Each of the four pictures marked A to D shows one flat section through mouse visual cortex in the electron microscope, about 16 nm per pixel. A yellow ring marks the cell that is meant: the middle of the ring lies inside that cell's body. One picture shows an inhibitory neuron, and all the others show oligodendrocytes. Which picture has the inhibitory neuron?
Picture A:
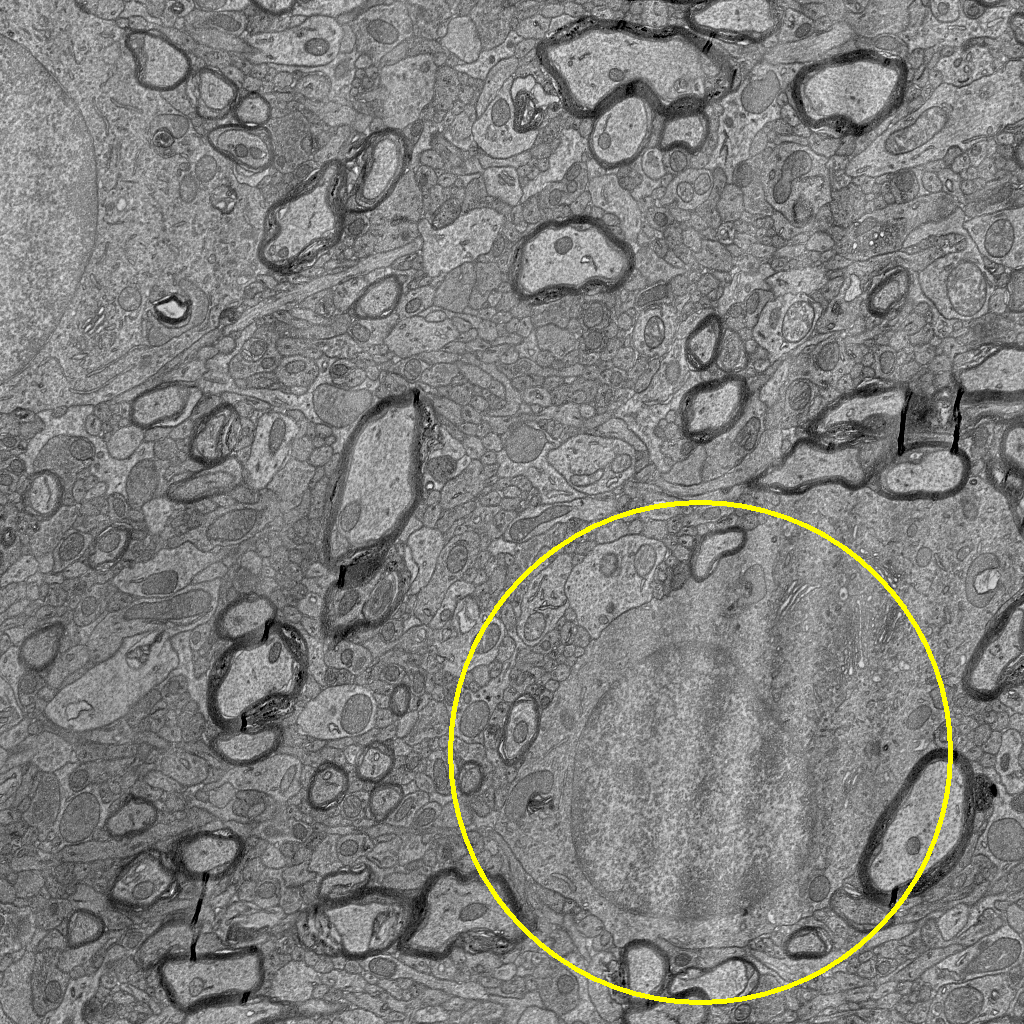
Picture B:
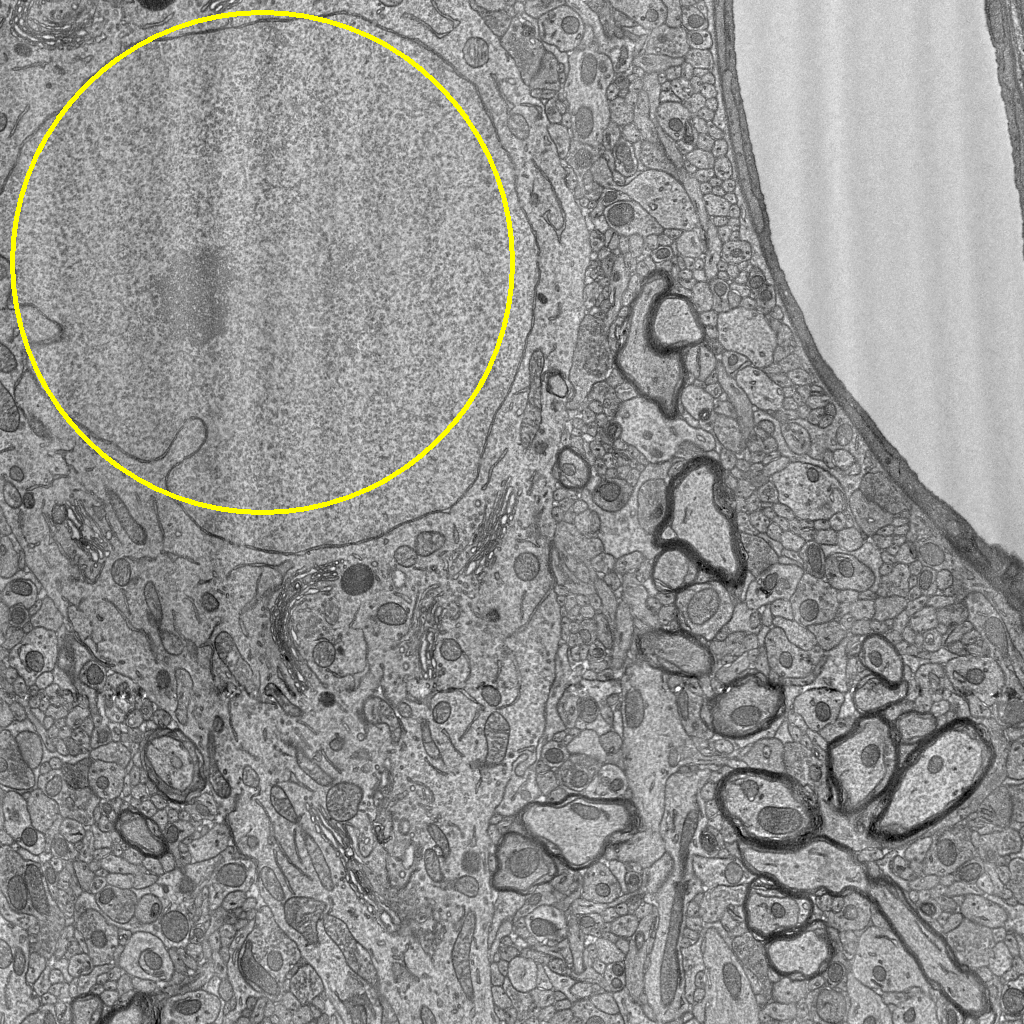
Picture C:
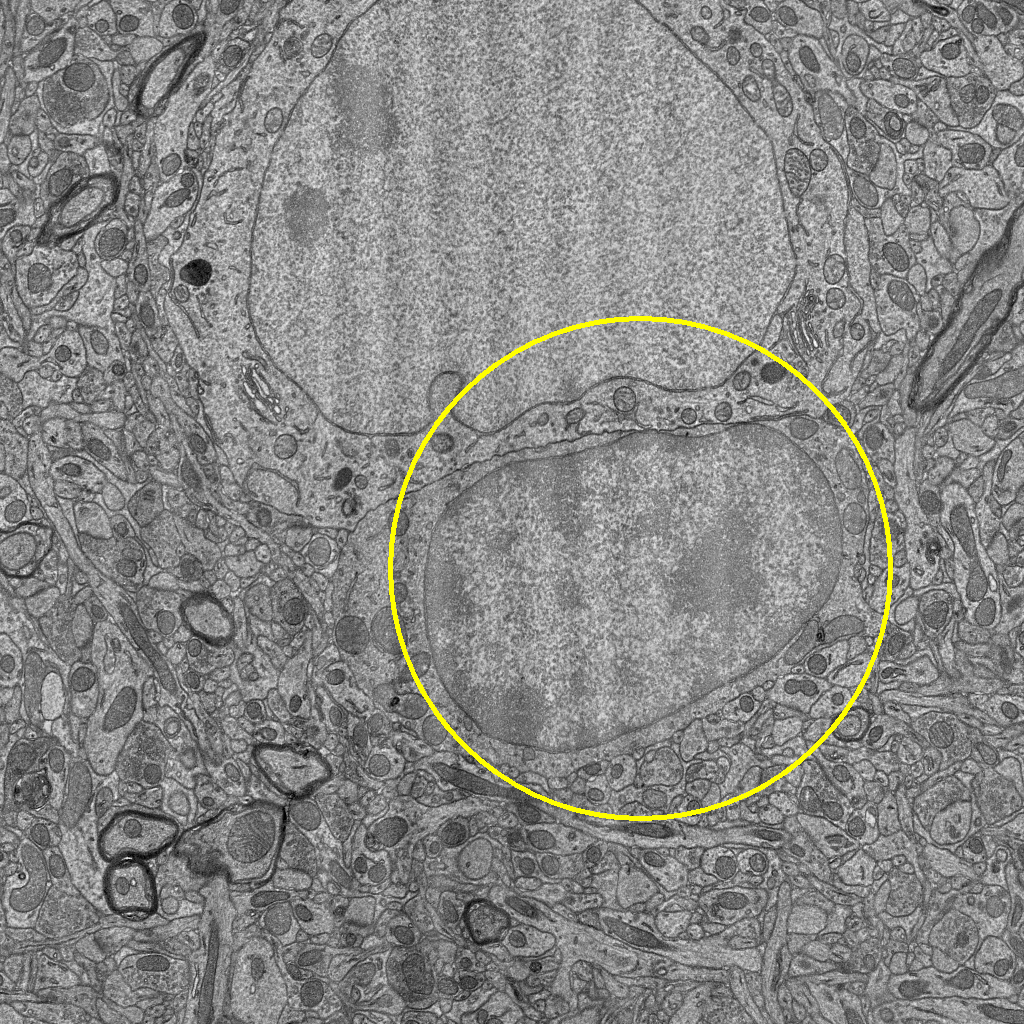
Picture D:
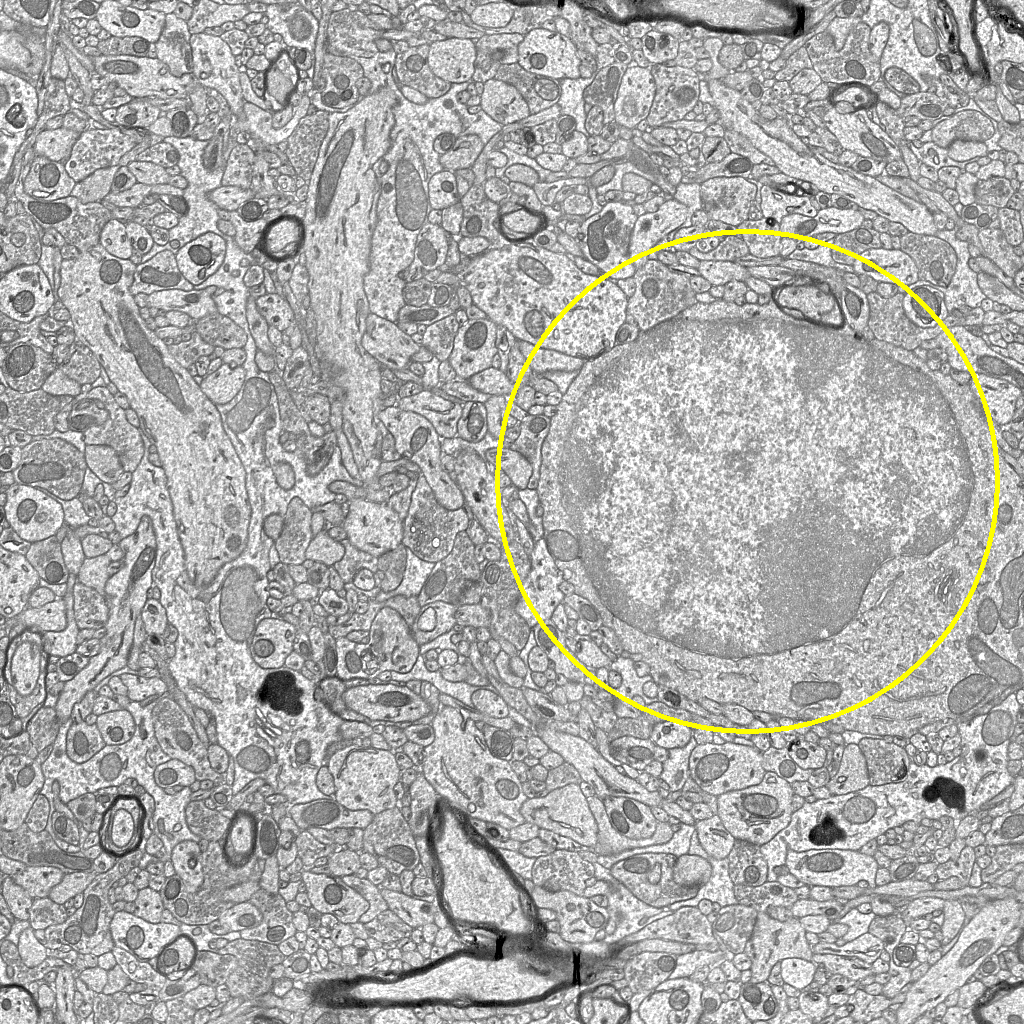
Picture B shows the inhibitory neuron.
